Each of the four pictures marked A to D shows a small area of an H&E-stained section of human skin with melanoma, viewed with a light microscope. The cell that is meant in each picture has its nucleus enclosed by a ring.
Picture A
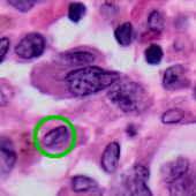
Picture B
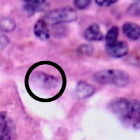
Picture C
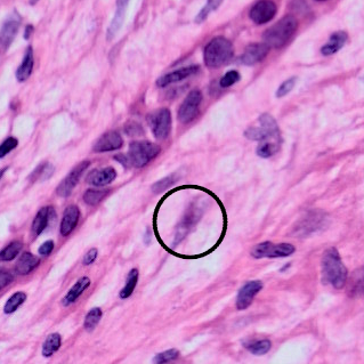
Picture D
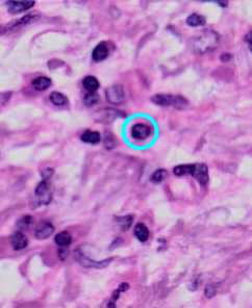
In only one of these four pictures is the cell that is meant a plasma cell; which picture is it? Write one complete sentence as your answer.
It is picture D that shows the plasma cell.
